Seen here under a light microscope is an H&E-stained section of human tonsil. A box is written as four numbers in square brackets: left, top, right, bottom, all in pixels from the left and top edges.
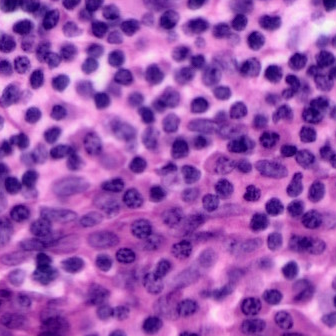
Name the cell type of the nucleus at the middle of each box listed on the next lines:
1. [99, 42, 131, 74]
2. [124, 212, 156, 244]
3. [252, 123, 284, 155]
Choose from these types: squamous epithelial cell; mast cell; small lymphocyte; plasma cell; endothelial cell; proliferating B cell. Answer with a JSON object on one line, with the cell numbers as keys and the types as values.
{"1": "small lymphocyte", "2": "plasma cell", "3": "plasma cell"}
